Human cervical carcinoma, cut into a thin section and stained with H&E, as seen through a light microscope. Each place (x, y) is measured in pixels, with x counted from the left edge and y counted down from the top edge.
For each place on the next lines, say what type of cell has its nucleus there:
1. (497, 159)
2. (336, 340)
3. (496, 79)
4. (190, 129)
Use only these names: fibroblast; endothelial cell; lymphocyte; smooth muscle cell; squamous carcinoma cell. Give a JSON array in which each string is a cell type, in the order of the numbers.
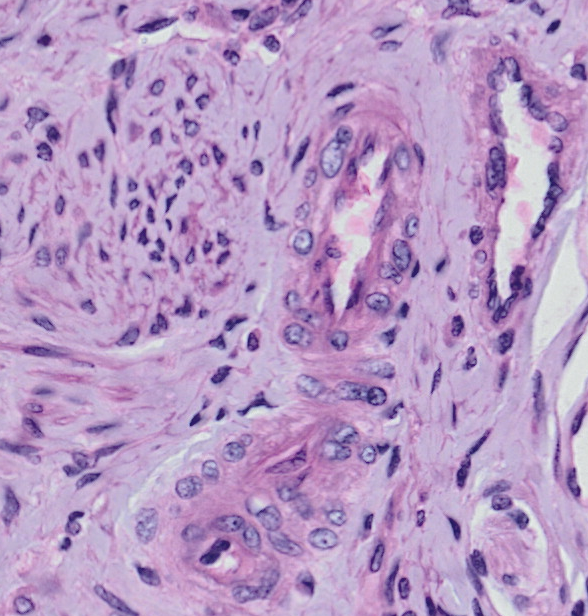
["endothelial cell", "smooth muscle cell", "endothelial cell", "smooth muscle cell"]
